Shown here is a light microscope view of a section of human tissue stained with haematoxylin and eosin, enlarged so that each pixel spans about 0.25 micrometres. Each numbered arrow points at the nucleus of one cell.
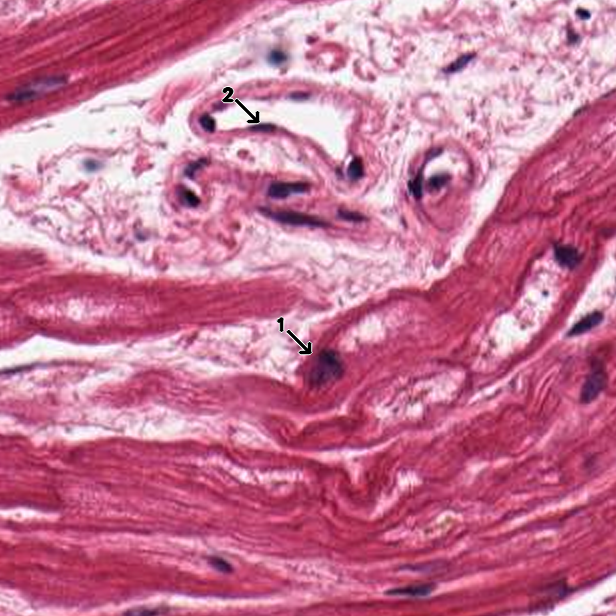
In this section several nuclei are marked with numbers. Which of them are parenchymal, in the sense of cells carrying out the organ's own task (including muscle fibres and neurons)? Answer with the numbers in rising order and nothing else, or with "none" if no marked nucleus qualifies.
1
